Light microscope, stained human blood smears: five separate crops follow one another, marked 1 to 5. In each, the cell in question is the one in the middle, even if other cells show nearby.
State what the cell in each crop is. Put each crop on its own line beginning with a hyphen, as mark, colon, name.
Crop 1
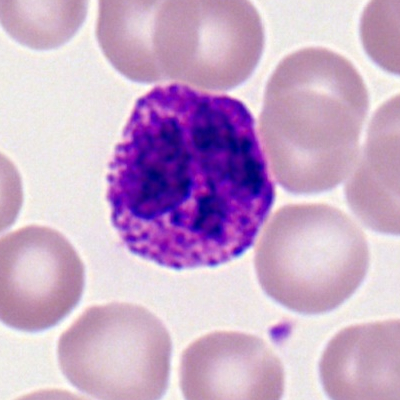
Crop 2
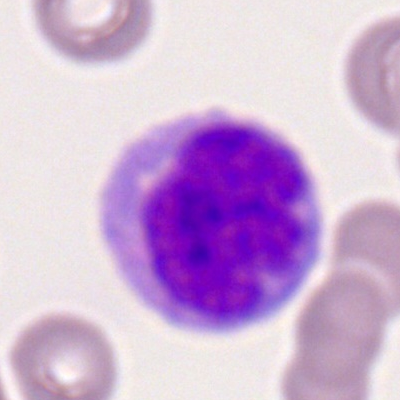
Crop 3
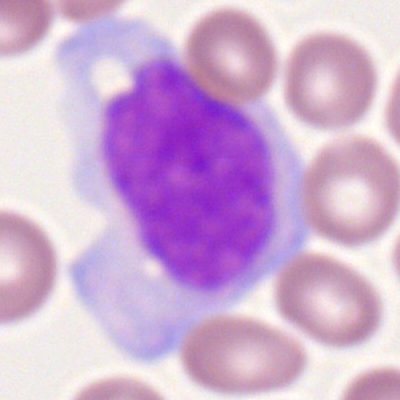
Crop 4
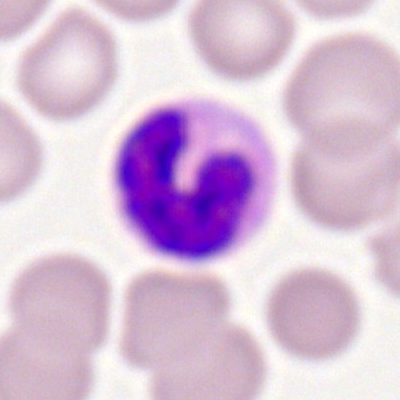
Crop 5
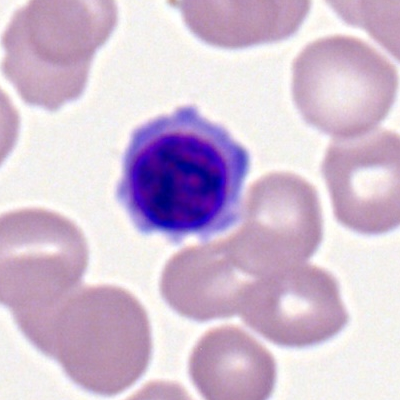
- 1: basophil
- 2: monocyte
- 3: monocyte
- 4: band neutrophil
- 5: normoblast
